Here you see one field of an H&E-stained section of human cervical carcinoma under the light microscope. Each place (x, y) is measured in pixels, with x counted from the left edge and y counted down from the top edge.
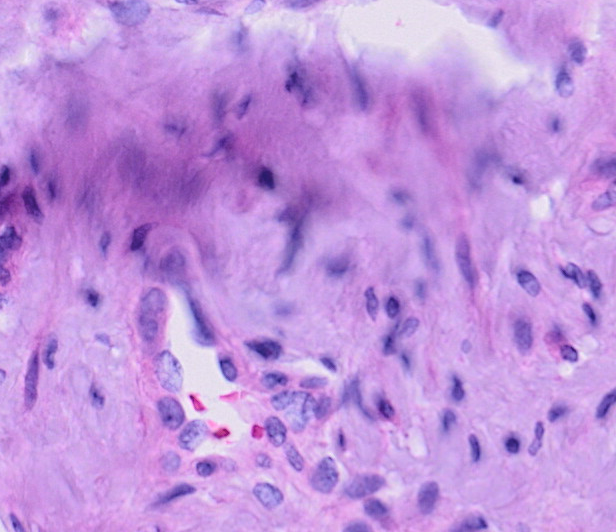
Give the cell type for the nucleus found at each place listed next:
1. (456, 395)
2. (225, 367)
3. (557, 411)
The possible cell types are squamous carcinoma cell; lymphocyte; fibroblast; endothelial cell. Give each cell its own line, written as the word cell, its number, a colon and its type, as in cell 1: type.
cell 1: fibroblast
cell 2: endothelial cell
cell 3: fibroblast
